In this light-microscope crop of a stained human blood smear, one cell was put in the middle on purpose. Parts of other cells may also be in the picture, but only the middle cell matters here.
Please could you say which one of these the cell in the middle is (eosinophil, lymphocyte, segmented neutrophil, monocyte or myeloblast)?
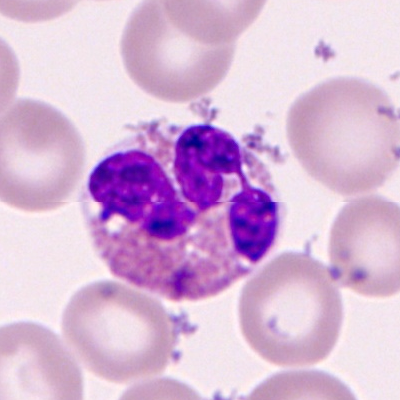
eosinophil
